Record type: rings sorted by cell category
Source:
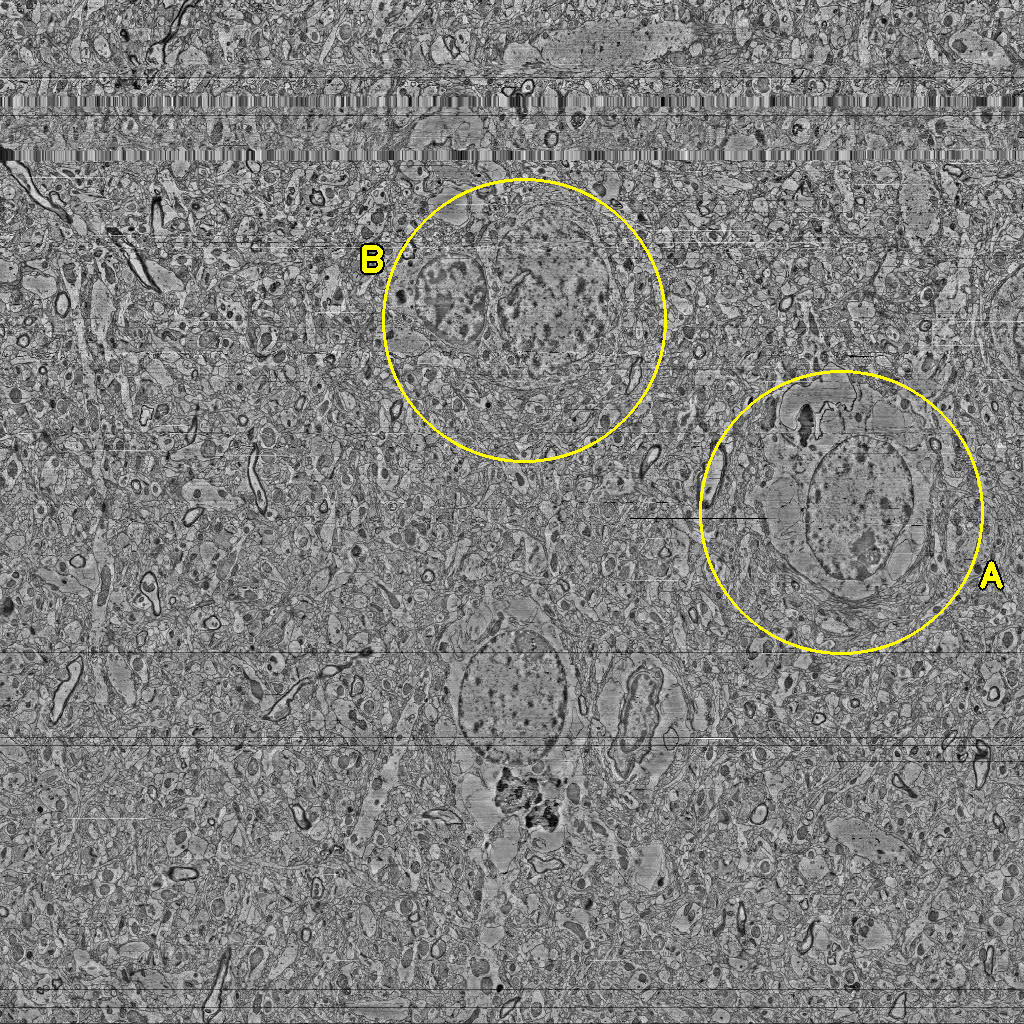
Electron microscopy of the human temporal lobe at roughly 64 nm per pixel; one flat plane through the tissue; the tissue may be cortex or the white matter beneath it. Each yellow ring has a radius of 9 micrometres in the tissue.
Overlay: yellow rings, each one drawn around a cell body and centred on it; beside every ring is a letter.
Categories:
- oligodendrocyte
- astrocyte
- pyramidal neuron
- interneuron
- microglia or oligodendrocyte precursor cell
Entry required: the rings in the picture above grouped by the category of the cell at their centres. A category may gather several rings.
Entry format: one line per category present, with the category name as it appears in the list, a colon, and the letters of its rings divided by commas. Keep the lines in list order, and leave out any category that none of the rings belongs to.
astrocyte: A
interneuron: B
